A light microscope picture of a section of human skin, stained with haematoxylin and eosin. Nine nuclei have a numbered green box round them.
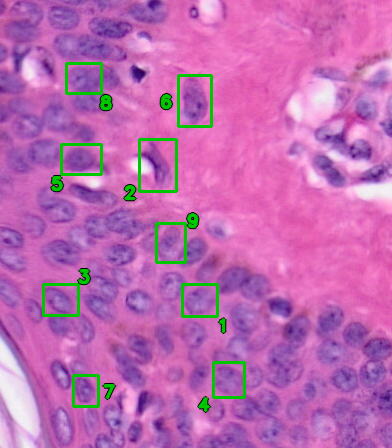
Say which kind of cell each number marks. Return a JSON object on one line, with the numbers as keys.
{"1": "suprabasal keratinocyte", "2": "fibroblast", "3": "suprabasal keratinocyte", "4": "suprabasal keratinocyte", "5": "basal keratinocyte", "6": "fibroblast", "7": "suprabasal keratinocyte", "8": "basal keratinocyte", "9": "basal keratinocyte"}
